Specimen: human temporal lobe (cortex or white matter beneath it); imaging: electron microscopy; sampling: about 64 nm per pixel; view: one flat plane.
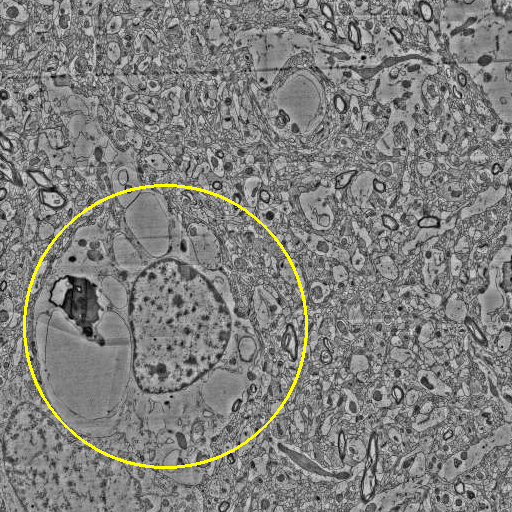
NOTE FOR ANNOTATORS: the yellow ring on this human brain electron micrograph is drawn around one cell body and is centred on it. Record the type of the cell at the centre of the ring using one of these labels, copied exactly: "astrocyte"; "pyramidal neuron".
astrocyte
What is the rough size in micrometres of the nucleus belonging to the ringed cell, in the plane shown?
The nucleus comes to roughly 9 by 7 micrometres in this plane.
